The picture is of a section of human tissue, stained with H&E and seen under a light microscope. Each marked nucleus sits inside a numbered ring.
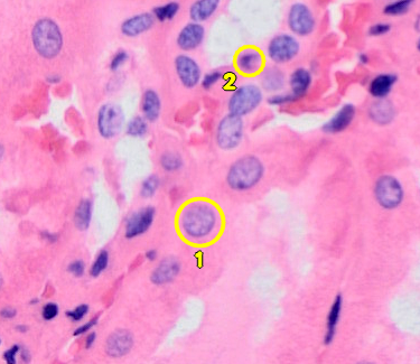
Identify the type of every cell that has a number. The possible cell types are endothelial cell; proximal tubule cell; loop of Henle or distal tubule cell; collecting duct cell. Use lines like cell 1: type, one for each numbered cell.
cell 1: proximal tubule cell
cell 2: collecting duct cell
